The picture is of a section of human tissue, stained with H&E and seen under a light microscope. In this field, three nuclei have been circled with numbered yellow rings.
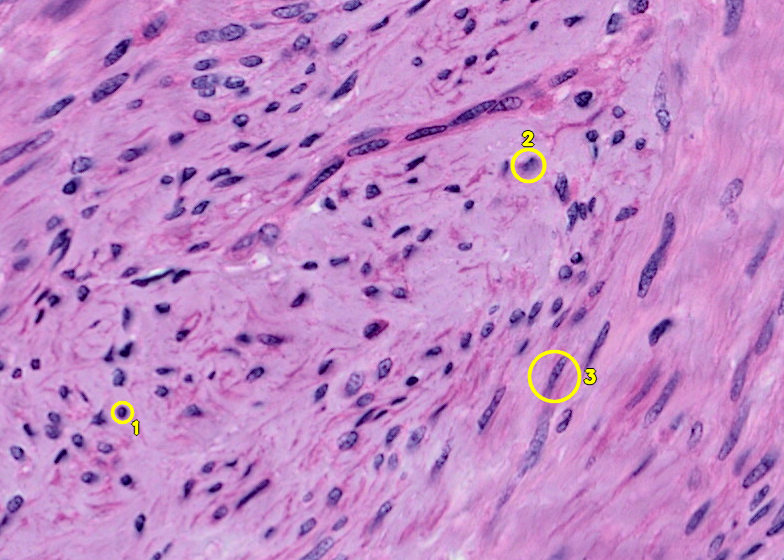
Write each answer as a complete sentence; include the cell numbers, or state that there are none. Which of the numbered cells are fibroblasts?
The cells that have been numbered 1 and 2 are fibroblasts.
